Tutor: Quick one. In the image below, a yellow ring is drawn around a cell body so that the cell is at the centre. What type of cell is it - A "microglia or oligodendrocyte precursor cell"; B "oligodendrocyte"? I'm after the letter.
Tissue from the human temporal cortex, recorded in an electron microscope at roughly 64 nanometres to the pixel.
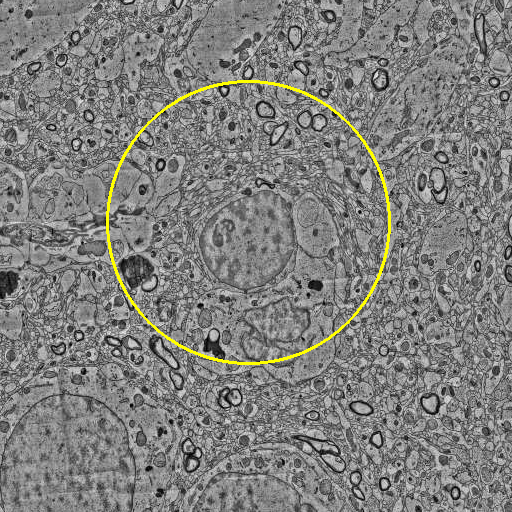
B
